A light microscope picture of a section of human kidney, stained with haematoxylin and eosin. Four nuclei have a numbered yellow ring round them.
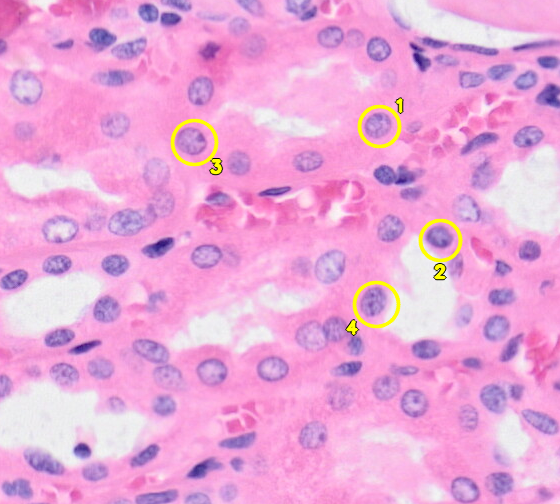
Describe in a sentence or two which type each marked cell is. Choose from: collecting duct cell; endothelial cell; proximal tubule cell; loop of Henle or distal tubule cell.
Cells 1 and 3 are proximal tubule cells. Cells 2 and 4 are loop of Henle or distal tubule cells.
